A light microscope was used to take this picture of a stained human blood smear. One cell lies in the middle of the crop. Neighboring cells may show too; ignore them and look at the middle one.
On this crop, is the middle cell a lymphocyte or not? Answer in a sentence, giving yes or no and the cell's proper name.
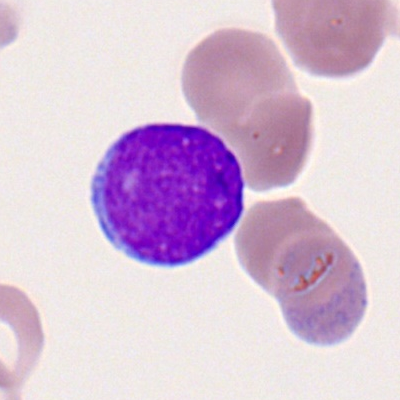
No, the correct answer for the middle cell is a myeloblast, not a lymphocyte.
